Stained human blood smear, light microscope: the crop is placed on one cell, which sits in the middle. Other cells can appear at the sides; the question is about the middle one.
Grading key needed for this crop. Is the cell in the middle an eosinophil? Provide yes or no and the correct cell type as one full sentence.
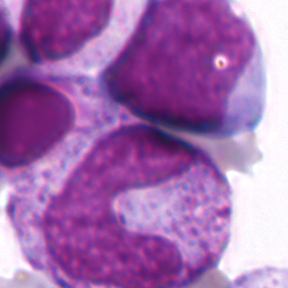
No, the central cell does not represent an eosinophil, but a band neutrophil.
